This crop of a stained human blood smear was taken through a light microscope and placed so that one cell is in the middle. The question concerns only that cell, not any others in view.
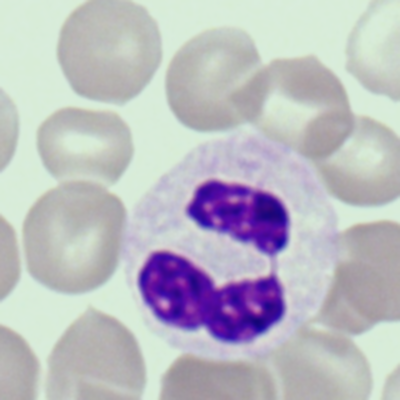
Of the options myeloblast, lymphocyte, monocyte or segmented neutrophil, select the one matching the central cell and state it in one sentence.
This crop is built around a segmented neutrophil at its centre.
